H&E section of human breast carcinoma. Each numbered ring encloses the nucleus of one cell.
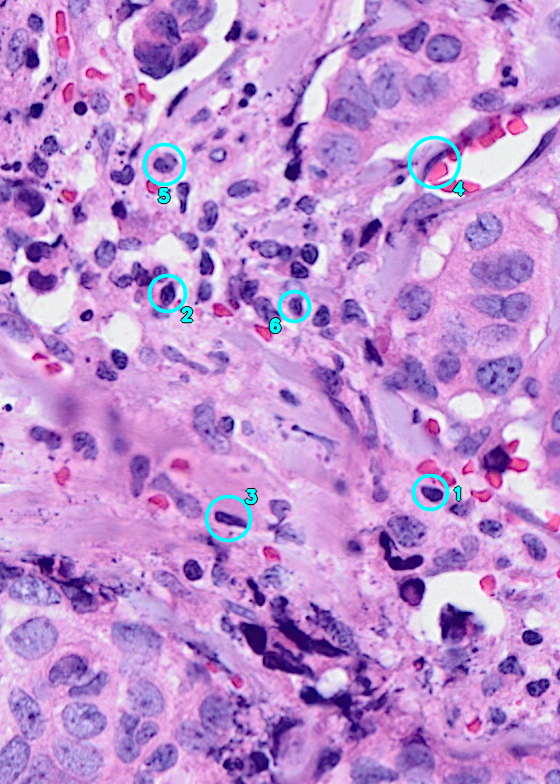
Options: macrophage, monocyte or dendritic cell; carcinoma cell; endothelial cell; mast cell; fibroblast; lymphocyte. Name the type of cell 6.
lymphocyte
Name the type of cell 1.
lymphocyte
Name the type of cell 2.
lymphocyte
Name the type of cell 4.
endothelial cell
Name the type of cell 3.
lymphocyte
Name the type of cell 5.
mast cell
